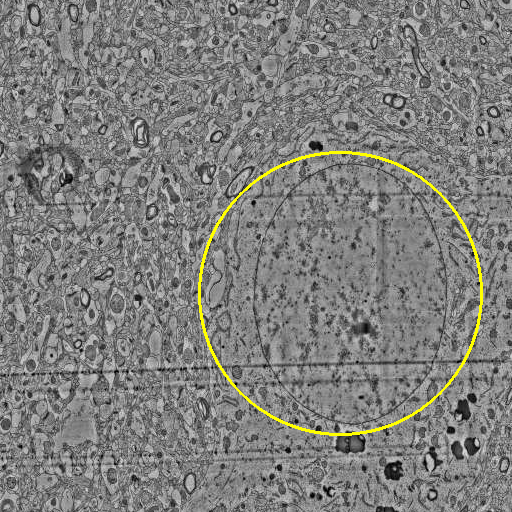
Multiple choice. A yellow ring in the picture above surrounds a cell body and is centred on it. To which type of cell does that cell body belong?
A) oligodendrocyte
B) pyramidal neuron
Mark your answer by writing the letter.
B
